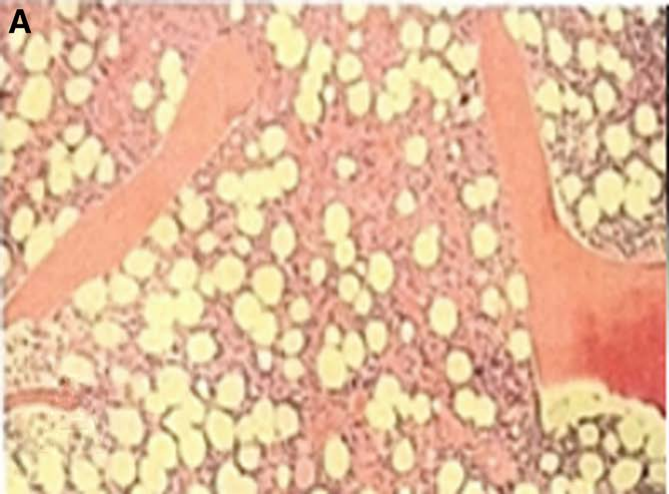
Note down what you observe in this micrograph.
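This is a section of bone marrow at low power, with pink bony trabeculae running across the field. Between the trabeculae lie many round, clear fat spaces of similar size. The marrow between the fat spaces is pink and finely cellular. Individual cells are hard to make out at this magnification.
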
